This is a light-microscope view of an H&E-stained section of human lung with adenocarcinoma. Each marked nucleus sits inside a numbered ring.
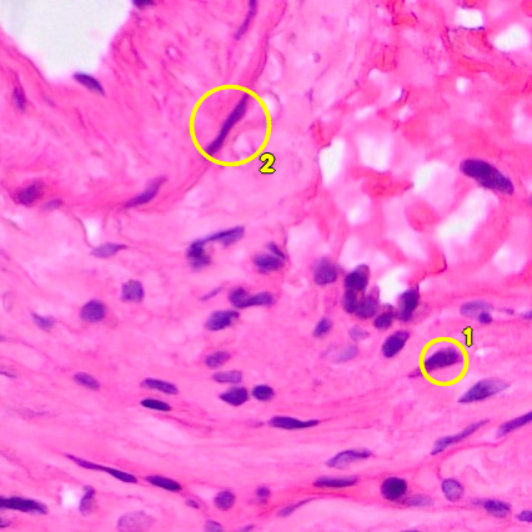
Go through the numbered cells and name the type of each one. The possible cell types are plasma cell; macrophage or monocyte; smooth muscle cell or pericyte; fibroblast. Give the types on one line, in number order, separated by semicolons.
plasma cell; smooth muscle cell or pericyte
